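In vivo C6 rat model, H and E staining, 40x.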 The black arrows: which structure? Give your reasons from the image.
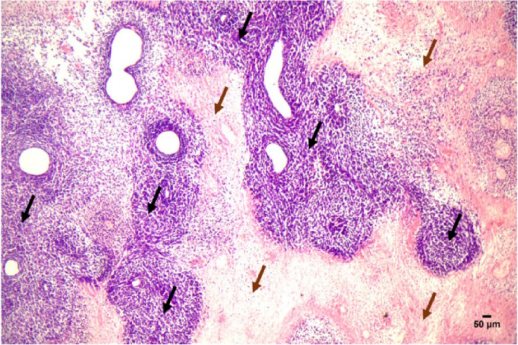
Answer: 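Tumor area. The black arrows point to dense, deeply purple islands packed with nuclei. These islands are surrounded by pale pink poorly cellular tissue.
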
